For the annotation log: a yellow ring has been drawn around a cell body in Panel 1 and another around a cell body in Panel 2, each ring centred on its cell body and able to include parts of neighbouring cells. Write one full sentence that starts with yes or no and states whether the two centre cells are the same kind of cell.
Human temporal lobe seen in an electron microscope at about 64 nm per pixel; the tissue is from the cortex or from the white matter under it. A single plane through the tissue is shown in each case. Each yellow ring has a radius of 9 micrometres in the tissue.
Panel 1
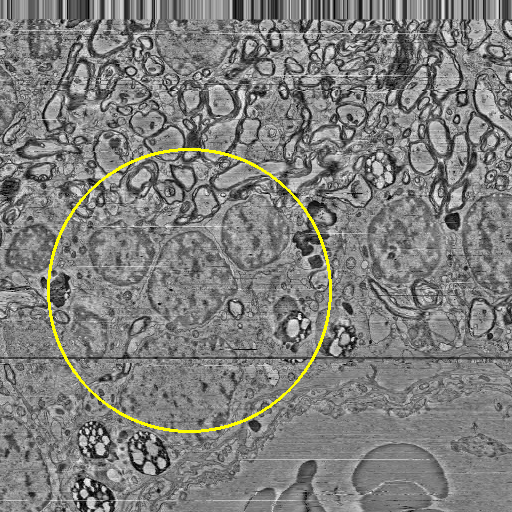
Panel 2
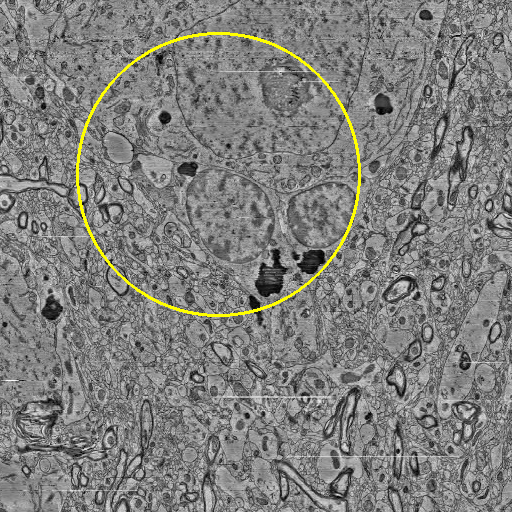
Yes, the two centre cells are the same kind of cell.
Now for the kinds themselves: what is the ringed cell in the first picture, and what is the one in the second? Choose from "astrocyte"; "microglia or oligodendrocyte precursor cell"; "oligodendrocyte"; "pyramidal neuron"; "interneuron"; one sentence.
The first and the second cell are each an oligodendrocyte.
